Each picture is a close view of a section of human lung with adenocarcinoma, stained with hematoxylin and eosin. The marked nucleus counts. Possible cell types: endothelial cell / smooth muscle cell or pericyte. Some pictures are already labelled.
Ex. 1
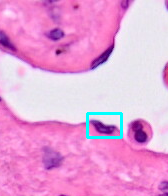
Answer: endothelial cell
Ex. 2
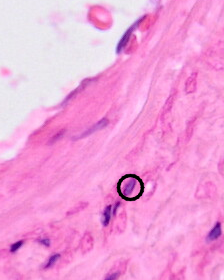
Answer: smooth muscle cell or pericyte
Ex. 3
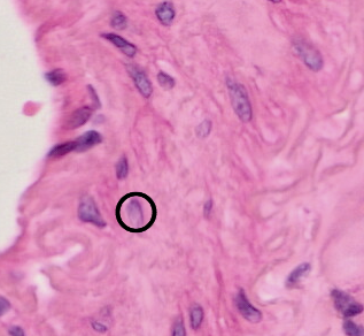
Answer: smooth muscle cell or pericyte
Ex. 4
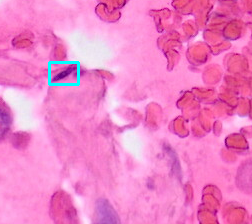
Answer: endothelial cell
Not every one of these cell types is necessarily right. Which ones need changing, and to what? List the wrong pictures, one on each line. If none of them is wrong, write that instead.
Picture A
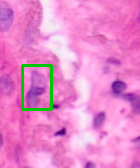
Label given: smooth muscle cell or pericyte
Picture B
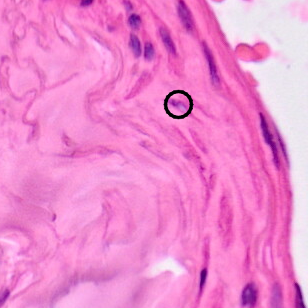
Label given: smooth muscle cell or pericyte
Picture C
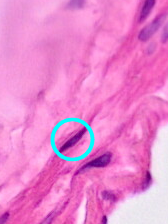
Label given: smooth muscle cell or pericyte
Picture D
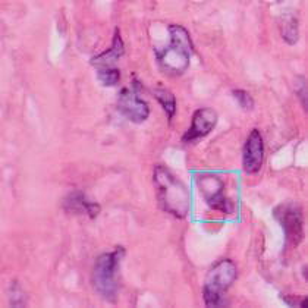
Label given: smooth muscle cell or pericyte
D should be endothelial cell, not smooth muscle cell or pericyte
